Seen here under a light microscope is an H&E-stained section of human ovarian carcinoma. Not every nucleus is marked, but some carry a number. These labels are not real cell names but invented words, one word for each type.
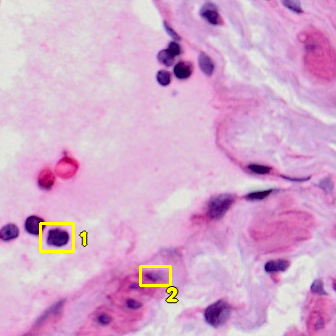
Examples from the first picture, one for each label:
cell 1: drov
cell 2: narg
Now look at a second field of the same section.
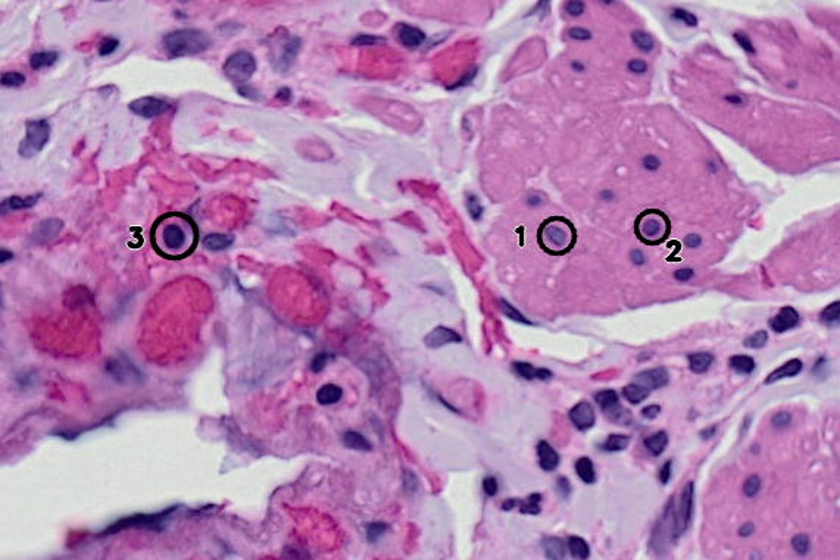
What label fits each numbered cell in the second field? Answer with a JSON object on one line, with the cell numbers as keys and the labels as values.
{"1": "narg", "2": "narg", "3": "drov"}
